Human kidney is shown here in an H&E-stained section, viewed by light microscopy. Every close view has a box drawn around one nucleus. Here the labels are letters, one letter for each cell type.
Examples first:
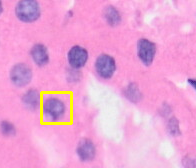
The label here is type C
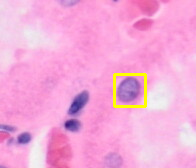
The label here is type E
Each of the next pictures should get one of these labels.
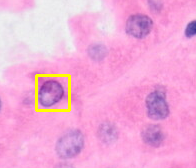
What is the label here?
type E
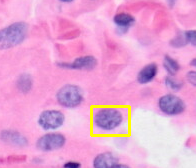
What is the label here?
type C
